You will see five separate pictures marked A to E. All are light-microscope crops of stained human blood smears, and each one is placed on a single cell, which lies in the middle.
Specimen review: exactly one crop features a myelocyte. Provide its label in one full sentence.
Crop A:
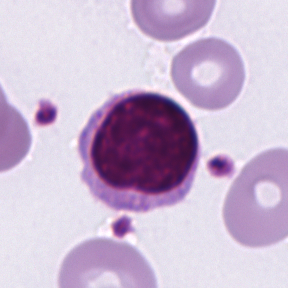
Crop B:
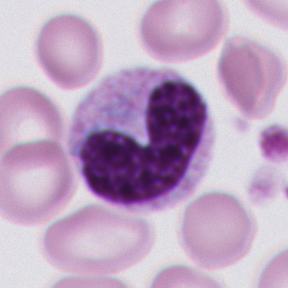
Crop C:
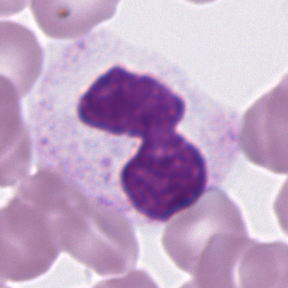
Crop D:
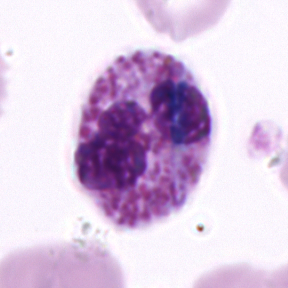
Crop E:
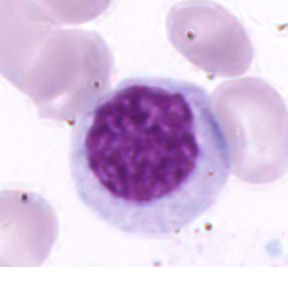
Among these crops, crop E holds a myelocyte.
